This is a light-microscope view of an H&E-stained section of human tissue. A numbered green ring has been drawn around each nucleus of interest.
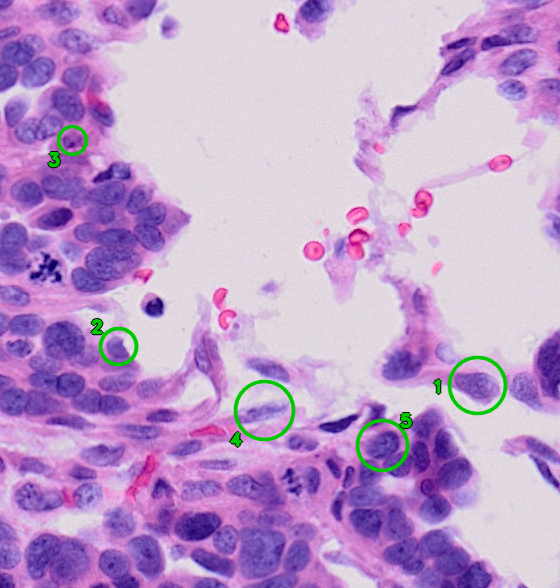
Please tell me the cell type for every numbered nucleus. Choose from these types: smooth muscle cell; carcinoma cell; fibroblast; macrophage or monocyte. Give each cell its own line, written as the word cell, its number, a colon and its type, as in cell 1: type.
cell 1: carcinoma cell
cell 2: carcinoma cell
cell 3: macrophage or monocyte
cell 4: fibroblast
cell 5: carcinoma cell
